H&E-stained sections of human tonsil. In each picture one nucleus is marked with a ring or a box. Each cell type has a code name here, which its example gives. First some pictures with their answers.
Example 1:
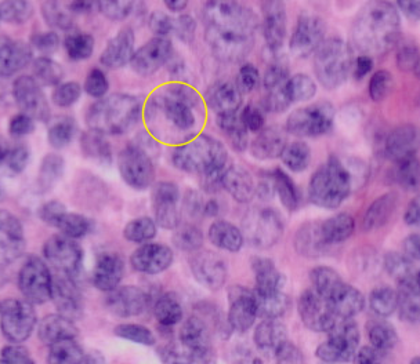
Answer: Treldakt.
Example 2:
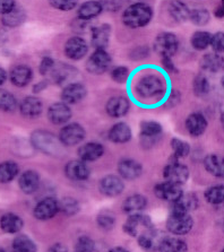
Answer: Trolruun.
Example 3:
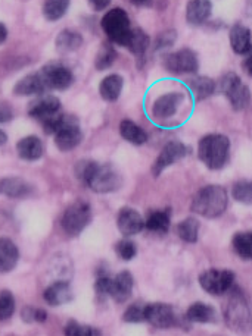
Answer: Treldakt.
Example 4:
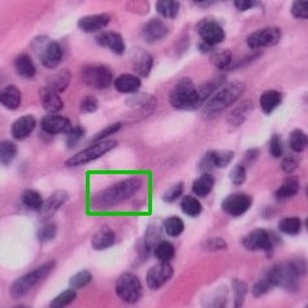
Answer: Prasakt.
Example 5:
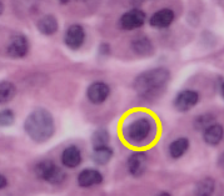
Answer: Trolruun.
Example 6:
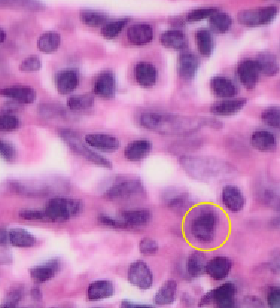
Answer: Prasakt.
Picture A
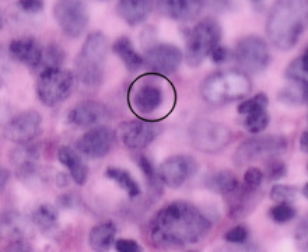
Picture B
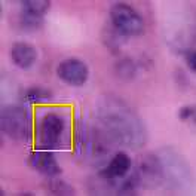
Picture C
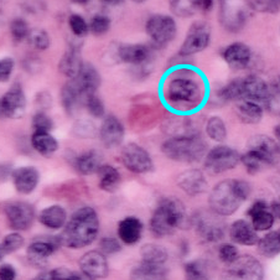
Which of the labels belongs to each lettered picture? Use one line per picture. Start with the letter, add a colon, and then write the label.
A: Treldakt.
B: Prasakt.
C: Treldakt.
